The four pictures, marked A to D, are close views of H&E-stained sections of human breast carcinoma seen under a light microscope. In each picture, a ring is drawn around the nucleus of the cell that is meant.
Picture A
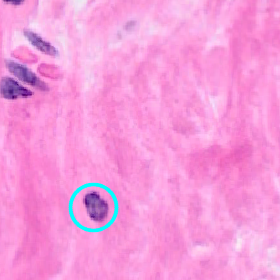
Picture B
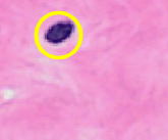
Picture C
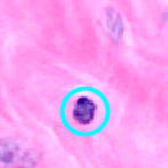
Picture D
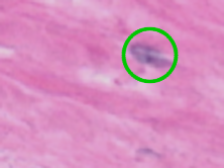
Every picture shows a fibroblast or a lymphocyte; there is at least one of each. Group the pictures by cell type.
A: lymphocyte
B: lymphocyte
C: lymphocyte
D: fibroblast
